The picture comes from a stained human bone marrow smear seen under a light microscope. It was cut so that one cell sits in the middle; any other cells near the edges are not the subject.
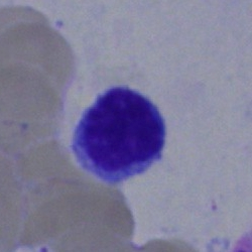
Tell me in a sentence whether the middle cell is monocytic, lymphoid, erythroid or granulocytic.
The middle cell is a constituent of the lymphoid lineage.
